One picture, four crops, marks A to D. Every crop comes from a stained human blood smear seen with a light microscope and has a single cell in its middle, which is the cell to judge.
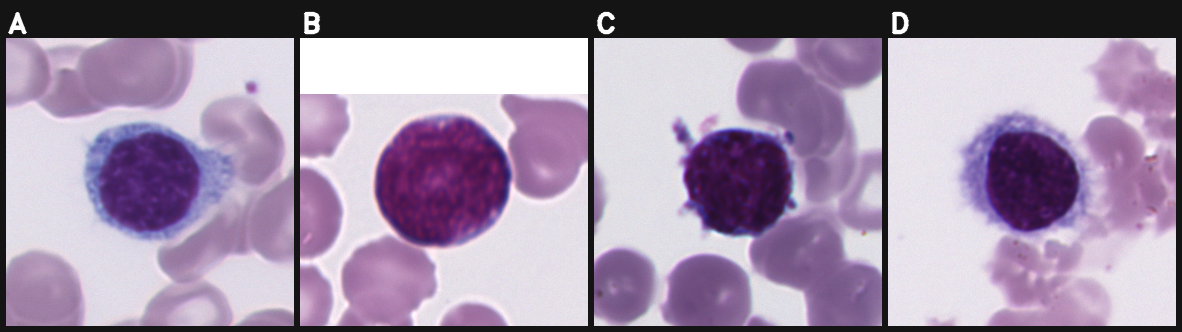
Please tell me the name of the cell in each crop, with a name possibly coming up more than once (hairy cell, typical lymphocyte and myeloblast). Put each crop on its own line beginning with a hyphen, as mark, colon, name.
- A: typical lymphocyte
- B: myeloblast
- C: myeloblast
- D: hairy cell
